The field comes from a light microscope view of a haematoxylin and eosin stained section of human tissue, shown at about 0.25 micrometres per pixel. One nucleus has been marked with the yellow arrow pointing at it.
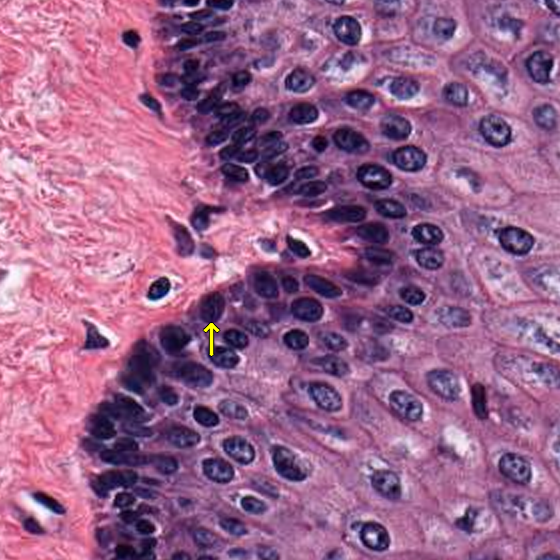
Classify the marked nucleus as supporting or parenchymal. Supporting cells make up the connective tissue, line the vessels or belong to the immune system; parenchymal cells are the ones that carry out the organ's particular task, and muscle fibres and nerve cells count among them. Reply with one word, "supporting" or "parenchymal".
parenchymal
